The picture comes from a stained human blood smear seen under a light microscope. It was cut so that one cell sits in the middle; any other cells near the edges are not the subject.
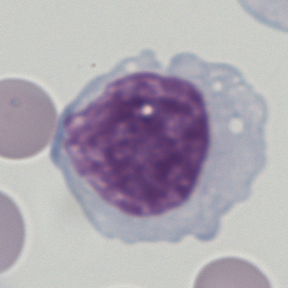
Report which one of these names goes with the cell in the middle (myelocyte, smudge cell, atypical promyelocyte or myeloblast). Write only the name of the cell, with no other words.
myeloblast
